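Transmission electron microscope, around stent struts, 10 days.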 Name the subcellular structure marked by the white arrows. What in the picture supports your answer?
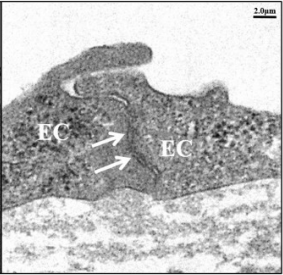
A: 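The arrows point to a winding, closely apposed membrane seam between two adjoining cells. On this evidence: tight junctions.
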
